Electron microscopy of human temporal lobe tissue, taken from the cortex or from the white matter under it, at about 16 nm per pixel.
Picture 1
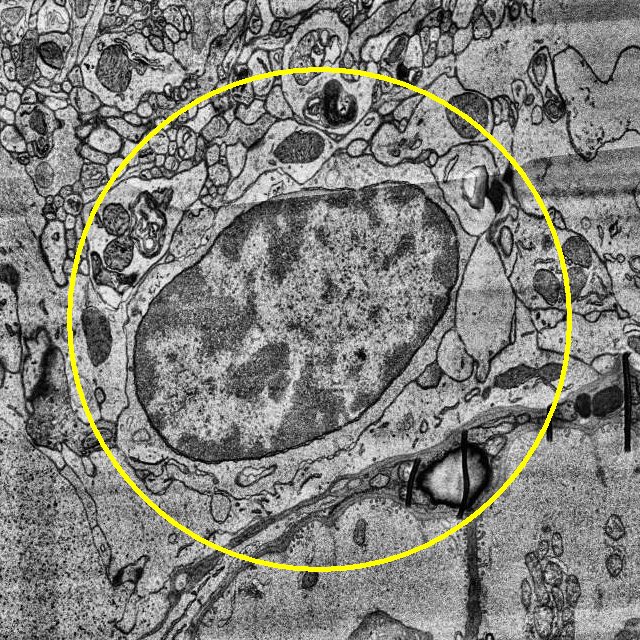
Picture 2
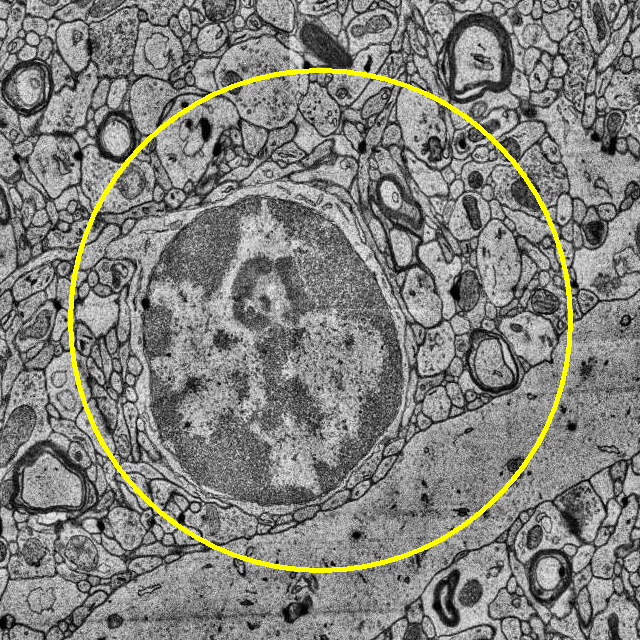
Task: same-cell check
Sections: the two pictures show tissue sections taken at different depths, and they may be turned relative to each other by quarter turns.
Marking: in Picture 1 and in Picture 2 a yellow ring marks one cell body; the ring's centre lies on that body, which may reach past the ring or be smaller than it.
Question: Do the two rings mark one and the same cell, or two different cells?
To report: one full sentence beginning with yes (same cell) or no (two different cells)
No, the two rings are not on the same cell.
